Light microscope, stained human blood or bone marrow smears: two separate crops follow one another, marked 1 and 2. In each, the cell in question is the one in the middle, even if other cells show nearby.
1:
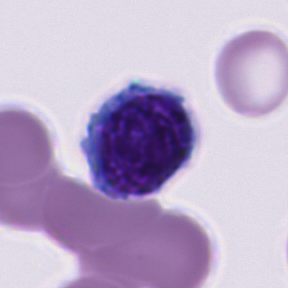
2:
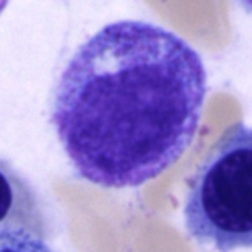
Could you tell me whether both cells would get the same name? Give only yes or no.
no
